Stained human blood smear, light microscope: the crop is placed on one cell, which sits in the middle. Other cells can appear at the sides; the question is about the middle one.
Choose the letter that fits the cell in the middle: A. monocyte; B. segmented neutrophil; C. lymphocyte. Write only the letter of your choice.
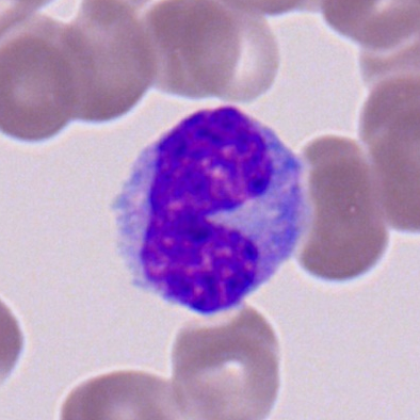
A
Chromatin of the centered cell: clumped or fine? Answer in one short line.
Take a look at the chromatin, which is coarsely clumped.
